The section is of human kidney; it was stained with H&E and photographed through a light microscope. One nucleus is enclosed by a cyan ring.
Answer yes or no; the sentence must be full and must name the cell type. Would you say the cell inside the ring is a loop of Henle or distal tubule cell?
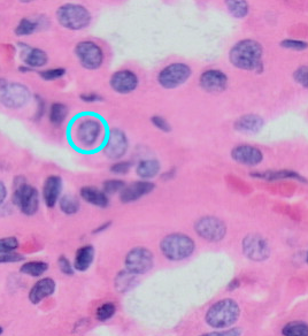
No, the cell inside the ring is identified as a collecting duct cell and not as a loop of Henle or distal tubule cell.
